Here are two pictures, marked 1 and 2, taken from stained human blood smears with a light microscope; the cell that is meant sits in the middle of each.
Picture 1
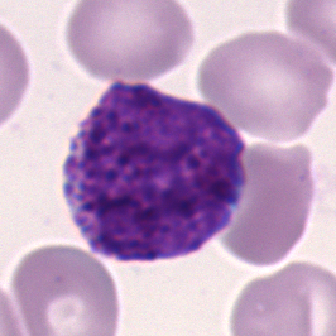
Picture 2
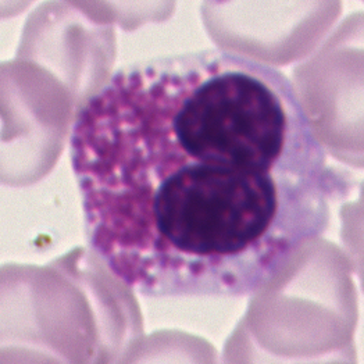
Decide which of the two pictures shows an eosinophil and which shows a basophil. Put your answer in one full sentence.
In picture 1 the cell is a basophil; in picture 2, an eosinophil.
